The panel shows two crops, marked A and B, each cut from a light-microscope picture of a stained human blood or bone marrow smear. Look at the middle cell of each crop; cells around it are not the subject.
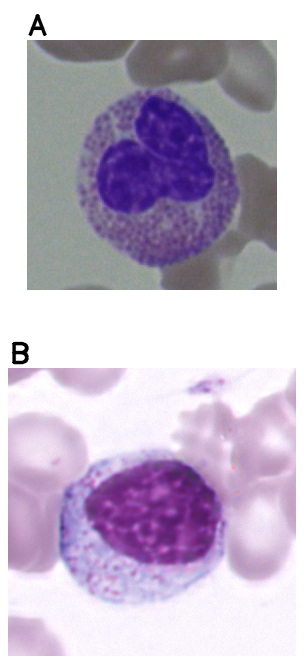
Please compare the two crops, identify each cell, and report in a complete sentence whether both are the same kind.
No, the cell in crop A is an eosinophil, and the cell in crop B is a metamyelocyte.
